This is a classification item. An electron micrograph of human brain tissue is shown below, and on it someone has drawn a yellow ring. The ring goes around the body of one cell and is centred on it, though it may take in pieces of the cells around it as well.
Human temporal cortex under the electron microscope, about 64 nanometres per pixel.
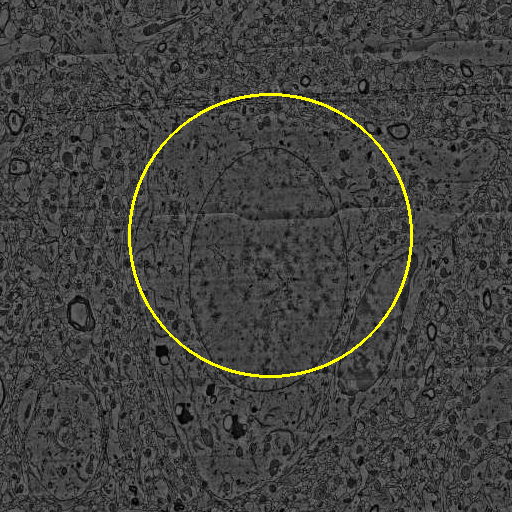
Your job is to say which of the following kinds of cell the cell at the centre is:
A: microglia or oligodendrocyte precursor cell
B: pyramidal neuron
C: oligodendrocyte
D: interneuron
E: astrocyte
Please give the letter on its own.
B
